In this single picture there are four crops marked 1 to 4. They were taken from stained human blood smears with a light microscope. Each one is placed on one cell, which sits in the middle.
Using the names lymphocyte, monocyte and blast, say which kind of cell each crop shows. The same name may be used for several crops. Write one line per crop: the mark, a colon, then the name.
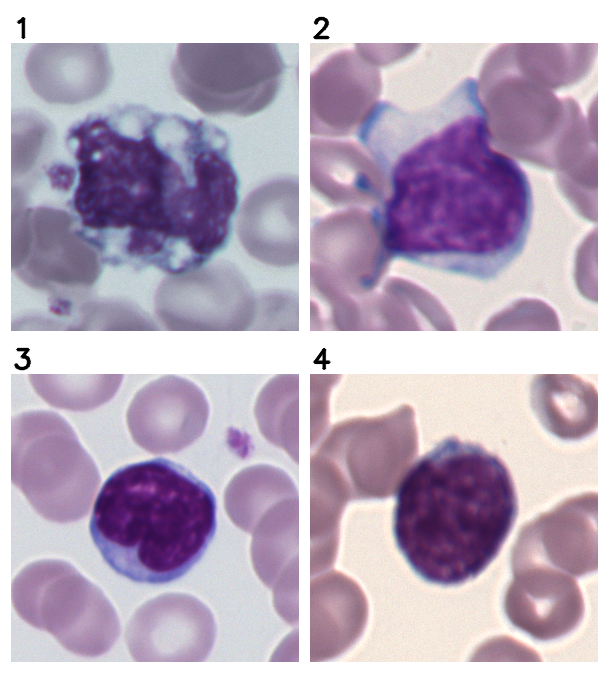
1: monocyte
2: blast
3: lymphocyte
4: blast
